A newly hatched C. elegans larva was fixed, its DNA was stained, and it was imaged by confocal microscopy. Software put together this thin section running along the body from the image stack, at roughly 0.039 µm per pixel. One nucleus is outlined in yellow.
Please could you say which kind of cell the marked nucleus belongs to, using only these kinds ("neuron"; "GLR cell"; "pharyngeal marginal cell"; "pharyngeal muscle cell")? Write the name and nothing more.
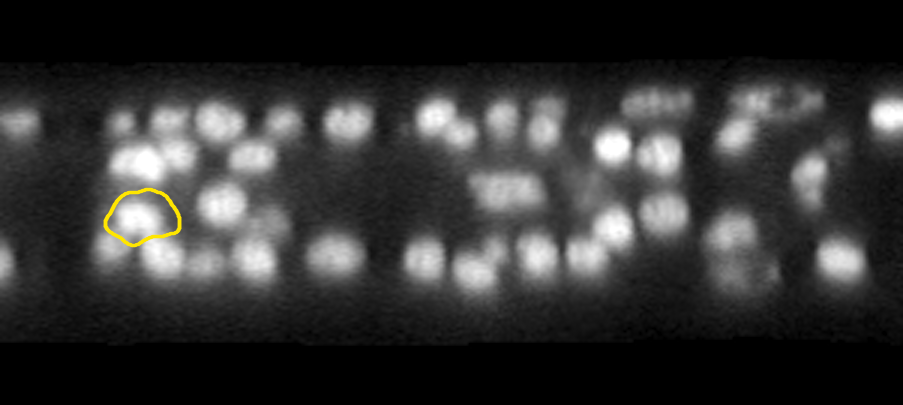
GLR cell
